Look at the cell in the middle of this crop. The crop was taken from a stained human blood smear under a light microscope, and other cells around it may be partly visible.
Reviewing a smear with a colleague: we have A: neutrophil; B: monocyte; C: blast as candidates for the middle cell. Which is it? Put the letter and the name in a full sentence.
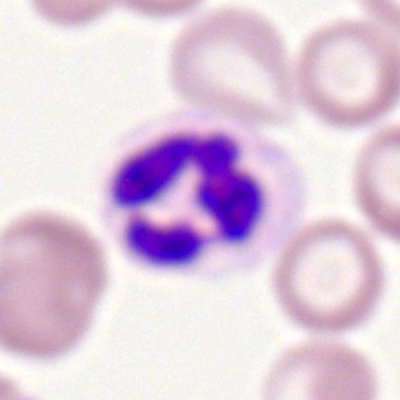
Answer key: option A, the middle cell being a neutrophil.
